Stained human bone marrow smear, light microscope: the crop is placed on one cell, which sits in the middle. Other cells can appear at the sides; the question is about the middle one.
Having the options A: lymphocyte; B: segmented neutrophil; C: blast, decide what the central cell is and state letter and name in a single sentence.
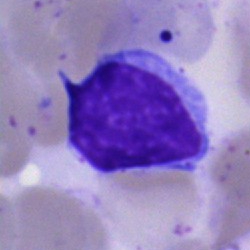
The central cell of the crop is a lymphocyte, which makes A the correct option.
